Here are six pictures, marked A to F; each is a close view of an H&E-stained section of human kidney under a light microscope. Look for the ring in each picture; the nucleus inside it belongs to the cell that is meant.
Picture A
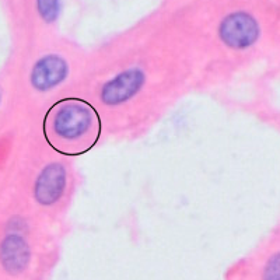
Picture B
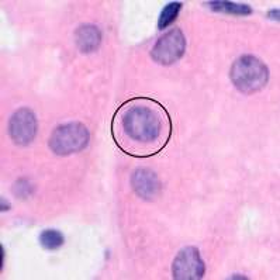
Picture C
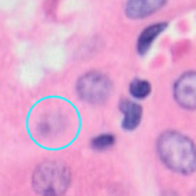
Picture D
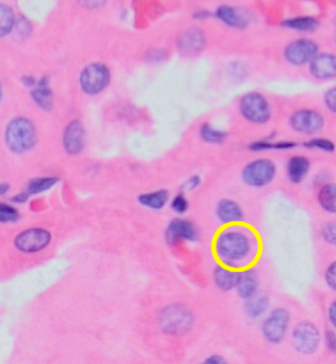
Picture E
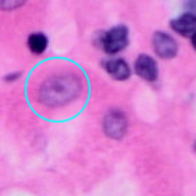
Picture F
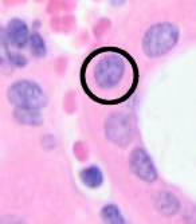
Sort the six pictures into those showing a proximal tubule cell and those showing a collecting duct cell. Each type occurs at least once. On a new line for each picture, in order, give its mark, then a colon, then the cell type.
A: proximal tubule cell
B: proximal tubule cell
C: proximal tubule cell
D: collecting duct cell
E: proximal tubule cell
F: collecting duct cell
